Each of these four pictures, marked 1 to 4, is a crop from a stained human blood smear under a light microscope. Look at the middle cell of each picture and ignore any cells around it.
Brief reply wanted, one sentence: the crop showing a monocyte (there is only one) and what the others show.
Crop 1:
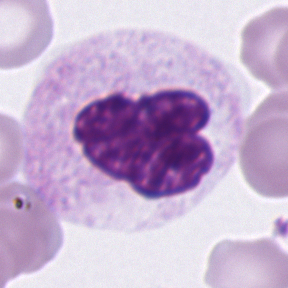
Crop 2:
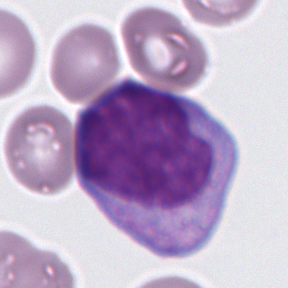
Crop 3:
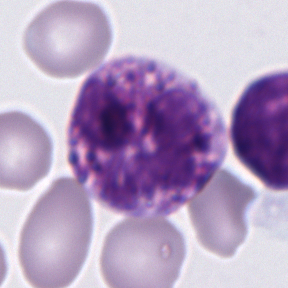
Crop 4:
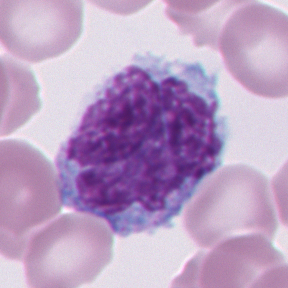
Depicted in crop 4 is a monocyte, while crop 1 is a neutrophil, crop 2 is an atypical promyelocyte and crop 3 is a basophil.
